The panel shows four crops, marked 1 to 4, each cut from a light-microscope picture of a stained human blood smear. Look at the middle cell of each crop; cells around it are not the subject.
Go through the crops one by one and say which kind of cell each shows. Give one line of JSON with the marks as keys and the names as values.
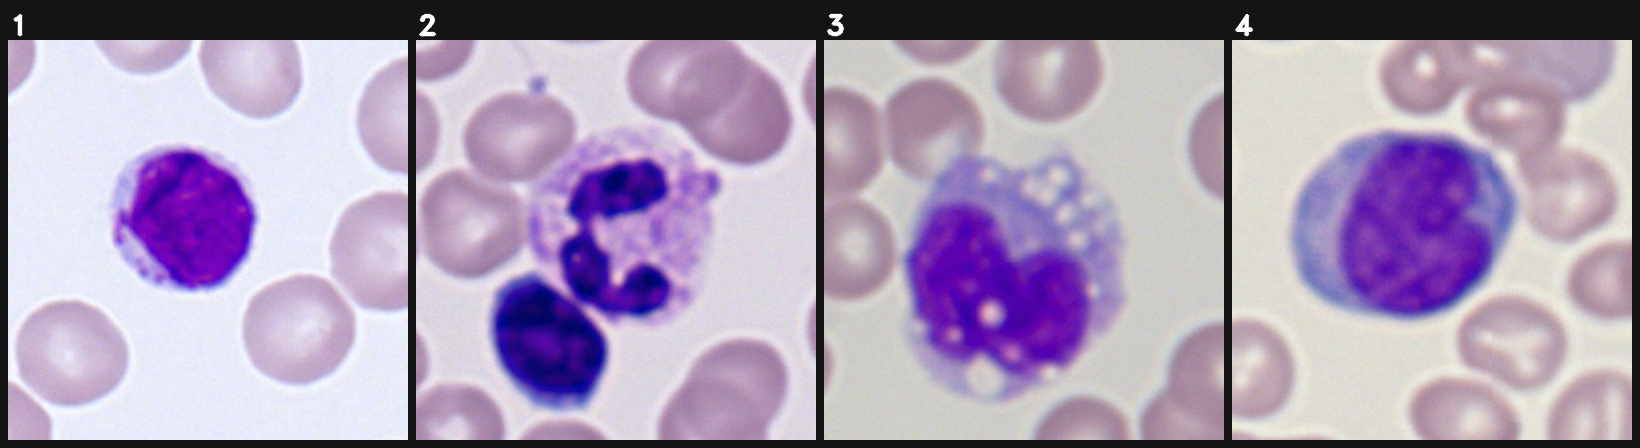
{"1": "lymphocyte", "2": "neutrophil", "3": "monocyte", "4": "monocyte"}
